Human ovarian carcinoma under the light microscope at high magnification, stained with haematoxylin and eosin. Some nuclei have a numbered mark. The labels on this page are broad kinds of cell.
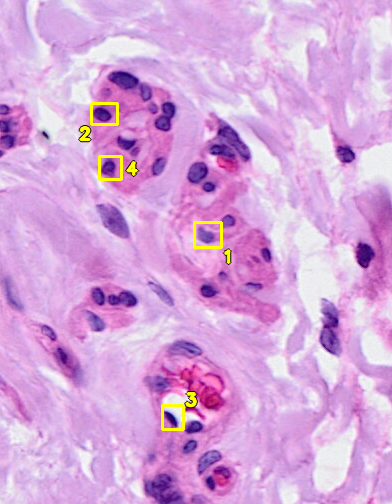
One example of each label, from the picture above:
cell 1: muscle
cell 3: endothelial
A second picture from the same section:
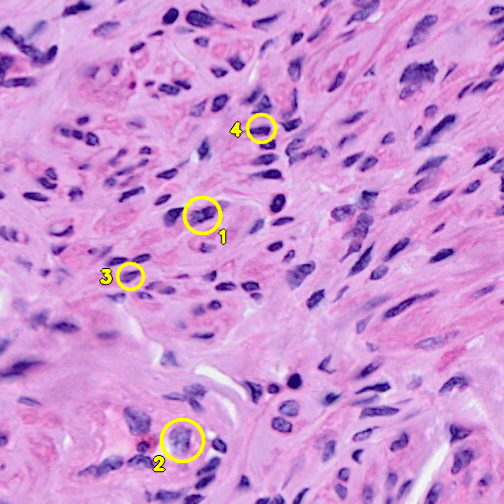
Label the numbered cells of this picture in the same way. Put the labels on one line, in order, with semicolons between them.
muscle; endothelial; muscle; muscle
